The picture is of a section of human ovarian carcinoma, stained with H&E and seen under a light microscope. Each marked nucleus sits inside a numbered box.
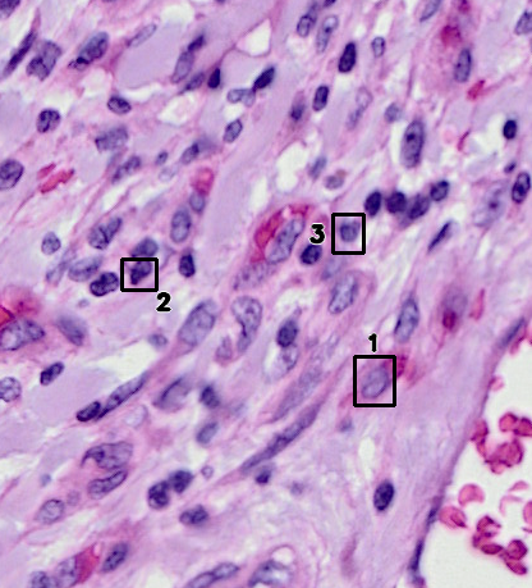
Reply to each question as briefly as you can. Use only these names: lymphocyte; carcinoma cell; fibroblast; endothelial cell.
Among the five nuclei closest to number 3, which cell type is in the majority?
lymphocyte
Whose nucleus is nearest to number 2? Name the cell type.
lymphocyte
